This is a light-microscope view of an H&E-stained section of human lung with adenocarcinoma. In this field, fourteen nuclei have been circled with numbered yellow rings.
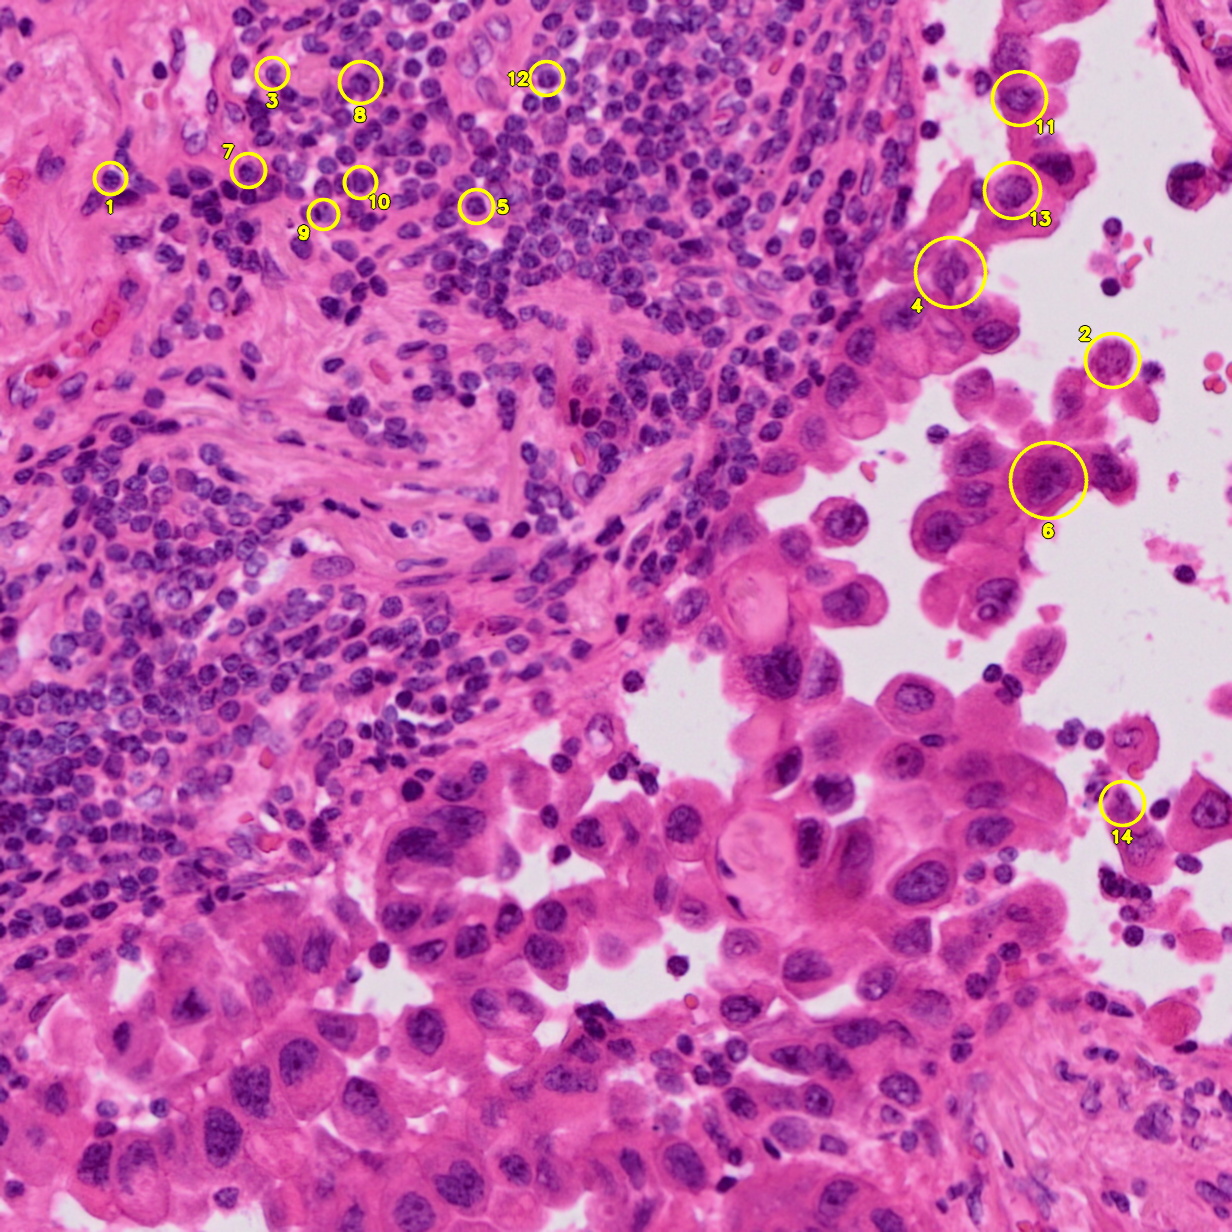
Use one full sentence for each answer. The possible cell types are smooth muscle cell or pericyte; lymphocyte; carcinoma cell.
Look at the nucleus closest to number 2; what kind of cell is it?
The nucleus nearest to number 2 is that of a lymphocyte.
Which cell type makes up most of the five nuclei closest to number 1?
Around number 1, most of the five nearest nuclei are those of lymphocytes.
